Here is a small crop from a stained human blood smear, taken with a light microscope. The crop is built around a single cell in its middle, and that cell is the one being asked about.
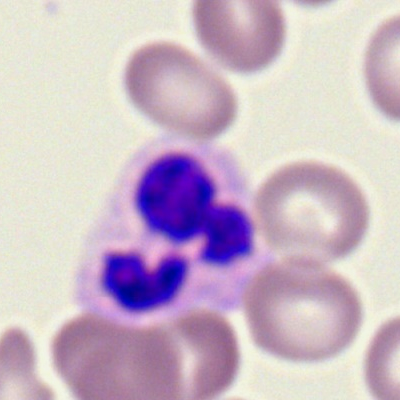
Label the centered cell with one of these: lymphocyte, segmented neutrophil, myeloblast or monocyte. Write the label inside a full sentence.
Whatever else lies nearby, the middle cell is a segmented neutrophil.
